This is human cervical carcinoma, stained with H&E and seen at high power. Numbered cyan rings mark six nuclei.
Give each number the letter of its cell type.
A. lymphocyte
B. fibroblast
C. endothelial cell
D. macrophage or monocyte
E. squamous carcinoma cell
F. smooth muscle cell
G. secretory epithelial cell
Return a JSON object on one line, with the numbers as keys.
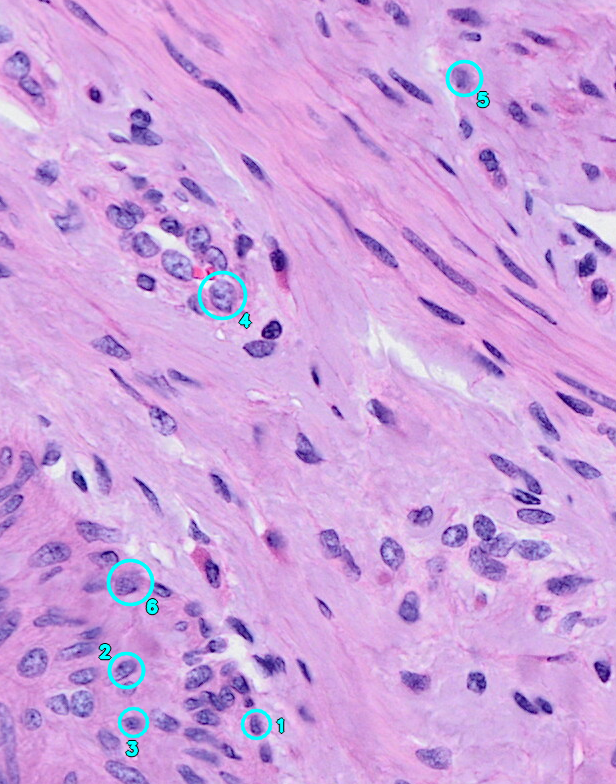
{"1": "F", "2": "F", "3": "F", "4": "C", "5": "B", "6": "F"}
